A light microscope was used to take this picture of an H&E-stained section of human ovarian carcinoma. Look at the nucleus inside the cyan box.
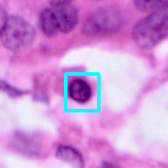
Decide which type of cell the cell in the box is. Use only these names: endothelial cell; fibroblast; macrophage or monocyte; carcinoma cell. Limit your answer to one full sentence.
The correct response here is that the cell in the box is a macrophage or monocyte.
